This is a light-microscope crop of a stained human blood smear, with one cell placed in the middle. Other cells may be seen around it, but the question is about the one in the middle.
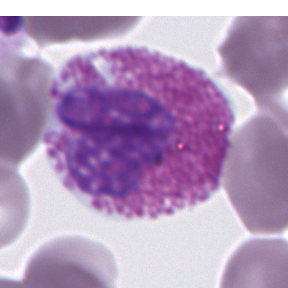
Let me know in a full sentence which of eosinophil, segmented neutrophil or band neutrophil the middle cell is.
The middle position in this crop is taken by an eosinophil.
